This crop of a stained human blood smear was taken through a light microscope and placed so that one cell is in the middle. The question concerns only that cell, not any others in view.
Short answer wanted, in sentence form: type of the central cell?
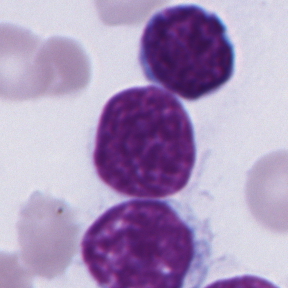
At the crop's centre, the cell is a myeloblast.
